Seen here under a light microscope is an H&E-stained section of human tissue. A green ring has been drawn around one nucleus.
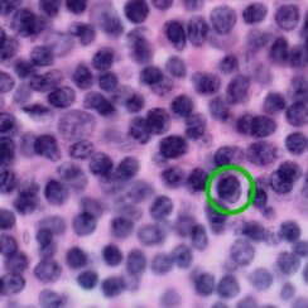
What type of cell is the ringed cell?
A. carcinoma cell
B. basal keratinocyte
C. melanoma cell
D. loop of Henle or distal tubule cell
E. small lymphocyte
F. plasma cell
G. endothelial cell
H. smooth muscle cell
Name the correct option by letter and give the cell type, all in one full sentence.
The correct option, E, describes the ringed cell as a small lymphocyte.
